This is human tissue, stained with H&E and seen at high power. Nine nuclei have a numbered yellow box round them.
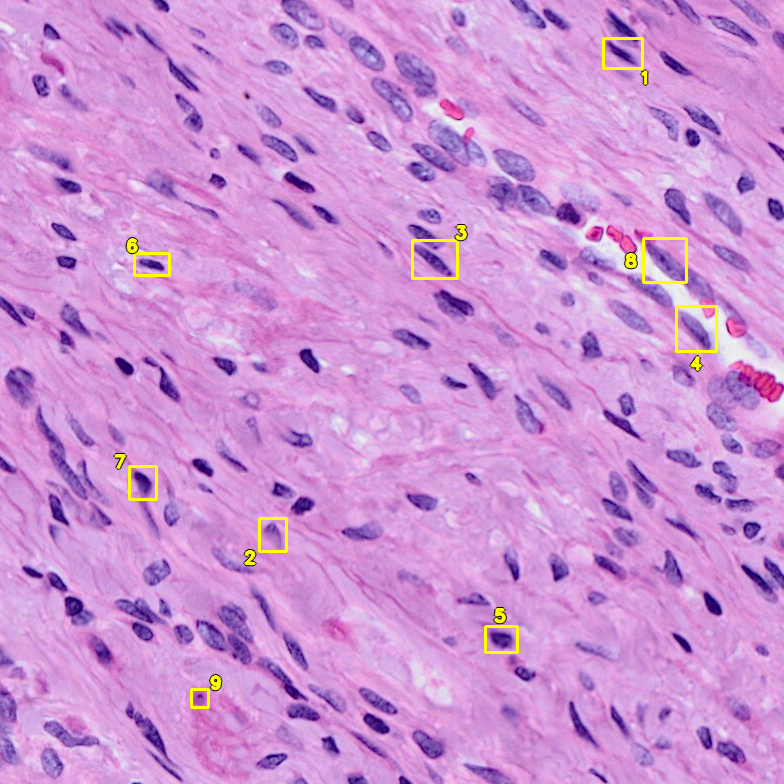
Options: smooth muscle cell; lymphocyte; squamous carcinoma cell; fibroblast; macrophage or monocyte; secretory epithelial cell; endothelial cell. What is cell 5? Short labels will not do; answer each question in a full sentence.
The numbered cell 5 is identified here as a lymphocyte.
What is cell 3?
The mark numbered 3 indicates the nucleus of a fibroblast.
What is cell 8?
Here, the cell given the number 8 is an endothelial cell.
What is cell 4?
The cell that bears the number 4 is an endothelial cell.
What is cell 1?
The label 1 in this section denotes a fibroblast.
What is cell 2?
Cell 2 of the marked set is a fibroblast.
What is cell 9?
Identified by the number 9, the cell is a smooth muscle cell.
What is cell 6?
The nucleus labeled 6 belongs to a lymphocyte.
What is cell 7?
The cell marked with number 7 is a lymphocyte.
